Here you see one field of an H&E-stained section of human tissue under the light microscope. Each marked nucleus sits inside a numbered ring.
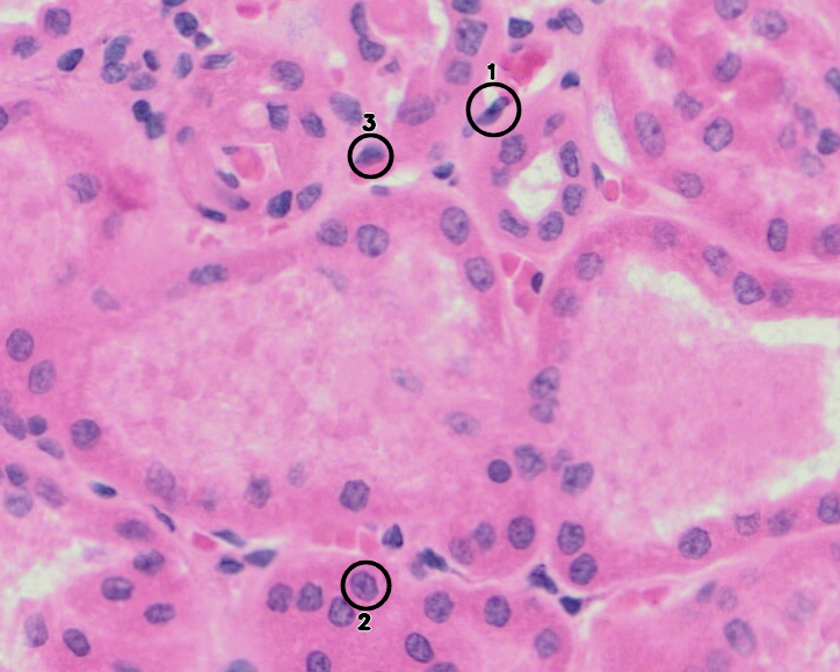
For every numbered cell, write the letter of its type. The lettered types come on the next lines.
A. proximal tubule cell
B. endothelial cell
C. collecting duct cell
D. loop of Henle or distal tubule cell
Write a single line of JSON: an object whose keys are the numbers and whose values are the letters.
{"1": "B", "2": "A", "3": "B"}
